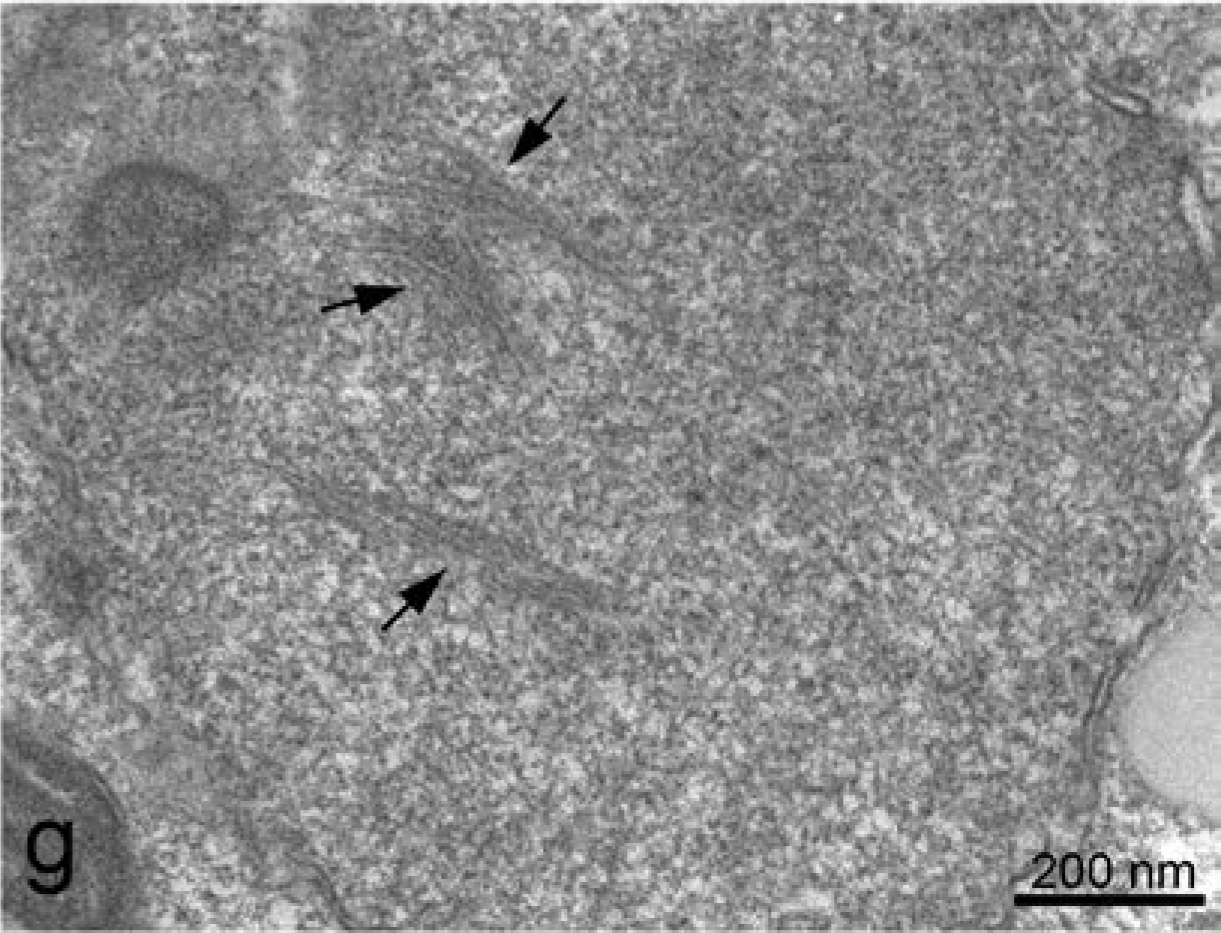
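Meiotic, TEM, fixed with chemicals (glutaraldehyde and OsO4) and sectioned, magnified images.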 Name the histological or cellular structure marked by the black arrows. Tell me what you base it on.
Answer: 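Nuclear bundles. Three arrows point to thin parallel filament-like linear structures.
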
